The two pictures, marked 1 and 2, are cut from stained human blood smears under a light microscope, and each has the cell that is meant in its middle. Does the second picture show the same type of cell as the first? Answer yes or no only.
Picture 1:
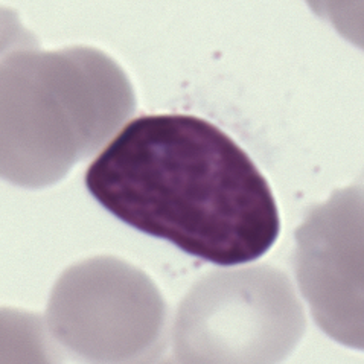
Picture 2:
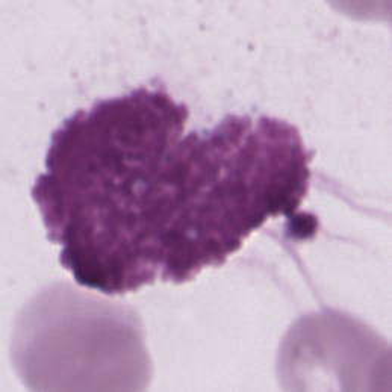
yes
